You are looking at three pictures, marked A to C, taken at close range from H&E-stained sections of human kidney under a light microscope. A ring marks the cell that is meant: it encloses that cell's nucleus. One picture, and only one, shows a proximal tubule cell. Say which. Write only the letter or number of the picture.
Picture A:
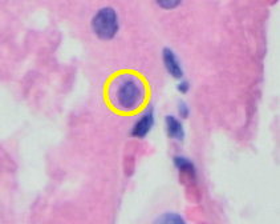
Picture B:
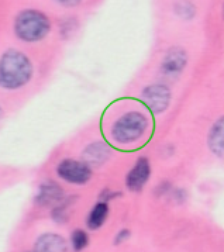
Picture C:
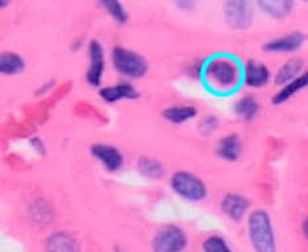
A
